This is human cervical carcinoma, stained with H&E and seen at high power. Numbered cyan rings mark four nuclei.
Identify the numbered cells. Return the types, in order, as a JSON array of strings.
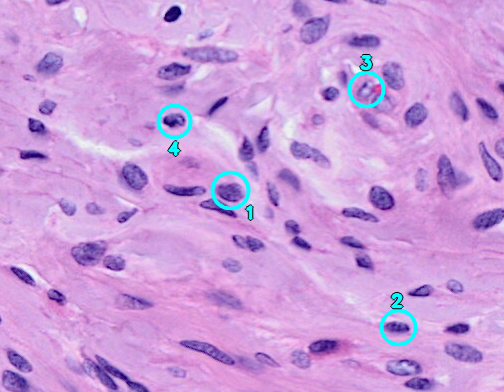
["fibroblast", "fibroblast", "endothelial cell", "lymphocyte"]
